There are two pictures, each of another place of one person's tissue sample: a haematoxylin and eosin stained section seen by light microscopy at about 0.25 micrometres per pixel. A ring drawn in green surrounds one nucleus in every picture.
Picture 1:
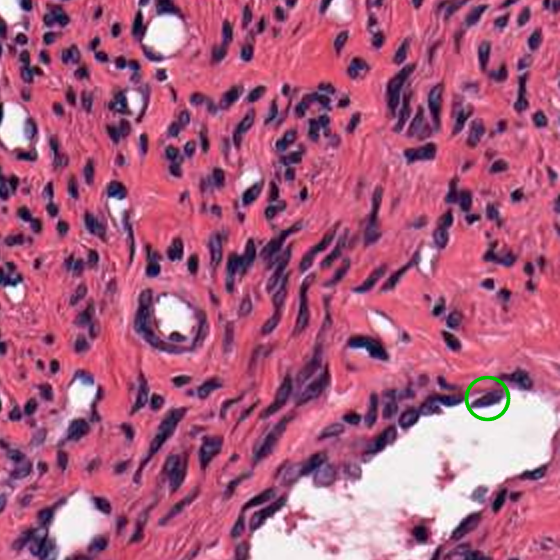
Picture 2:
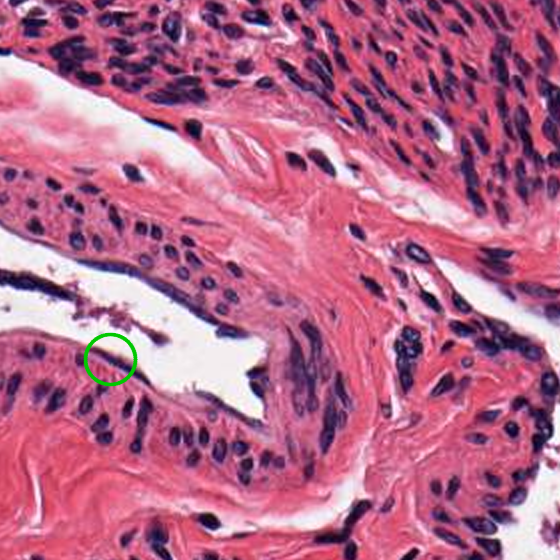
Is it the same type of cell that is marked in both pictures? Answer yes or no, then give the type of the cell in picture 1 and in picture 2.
Yes, both are endothelial cells.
